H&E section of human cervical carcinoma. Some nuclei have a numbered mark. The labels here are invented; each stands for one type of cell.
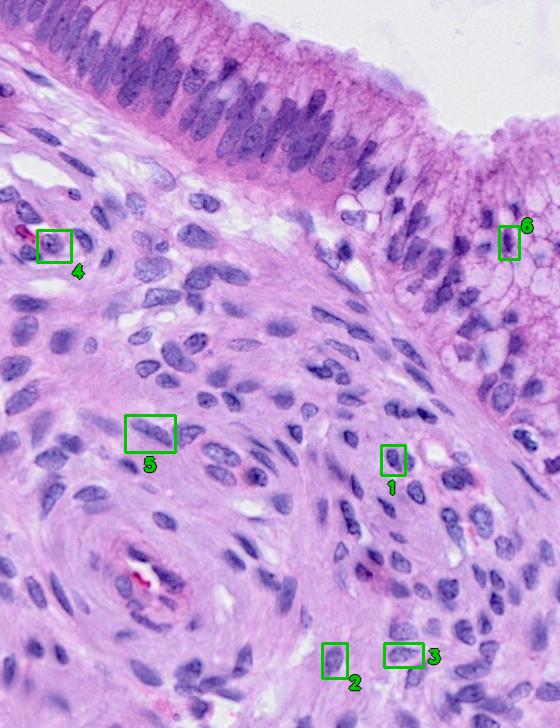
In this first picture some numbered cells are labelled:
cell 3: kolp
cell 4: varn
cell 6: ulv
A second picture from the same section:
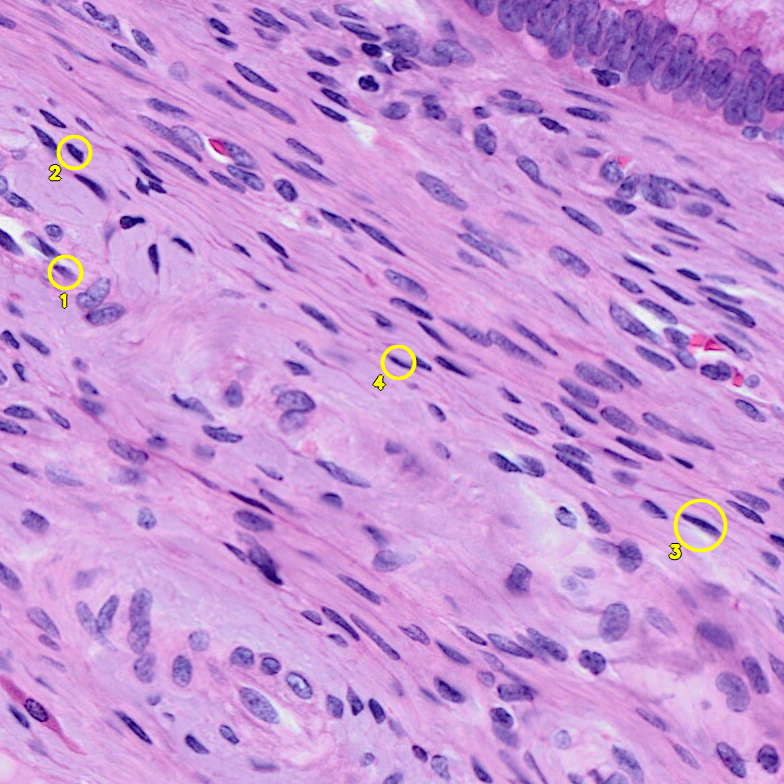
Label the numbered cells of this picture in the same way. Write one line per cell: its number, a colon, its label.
1: varn
2: kolp
3: kolp
4: kolp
